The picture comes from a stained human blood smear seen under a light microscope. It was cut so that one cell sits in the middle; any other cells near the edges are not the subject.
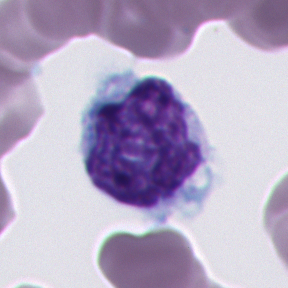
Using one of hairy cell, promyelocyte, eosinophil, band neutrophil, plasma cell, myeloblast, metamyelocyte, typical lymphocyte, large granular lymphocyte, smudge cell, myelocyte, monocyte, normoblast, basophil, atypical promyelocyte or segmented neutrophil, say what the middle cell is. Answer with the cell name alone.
monocyte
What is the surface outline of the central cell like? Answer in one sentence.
Not smooth, the outline of the cell is ragged or drawn out into projections.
